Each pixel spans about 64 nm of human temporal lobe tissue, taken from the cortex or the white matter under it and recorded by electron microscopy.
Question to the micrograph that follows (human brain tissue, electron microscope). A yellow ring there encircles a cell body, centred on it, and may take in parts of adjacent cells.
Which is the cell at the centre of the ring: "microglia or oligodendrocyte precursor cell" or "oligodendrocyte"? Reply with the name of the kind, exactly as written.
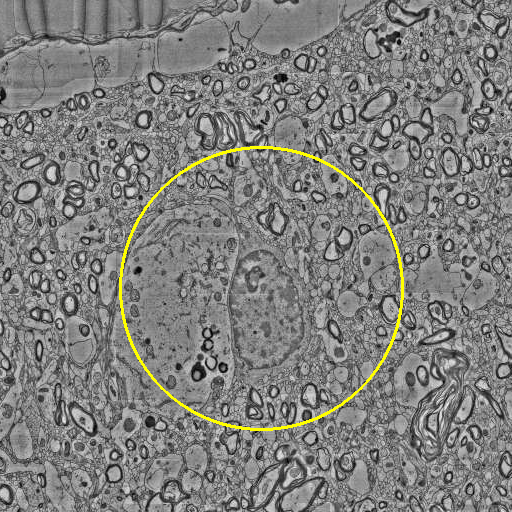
oligodendrocyte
